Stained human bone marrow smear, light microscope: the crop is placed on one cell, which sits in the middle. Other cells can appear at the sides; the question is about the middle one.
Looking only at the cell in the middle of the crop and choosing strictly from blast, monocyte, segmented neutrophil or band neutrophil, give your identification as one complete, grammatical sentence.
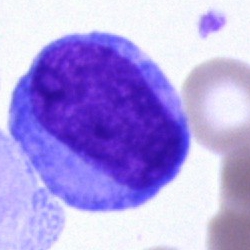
The centrally positioned cell in the crop represents a blast.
